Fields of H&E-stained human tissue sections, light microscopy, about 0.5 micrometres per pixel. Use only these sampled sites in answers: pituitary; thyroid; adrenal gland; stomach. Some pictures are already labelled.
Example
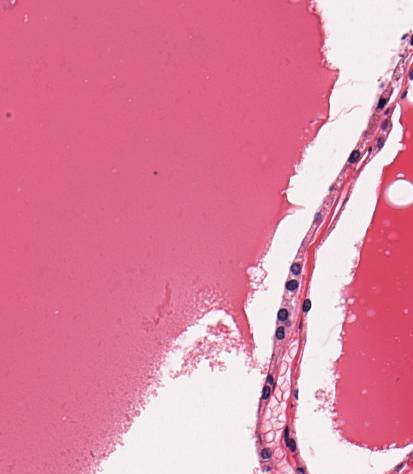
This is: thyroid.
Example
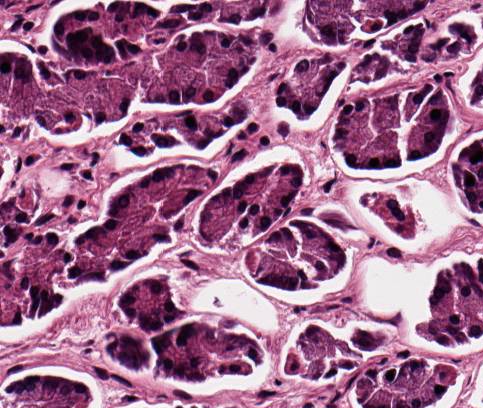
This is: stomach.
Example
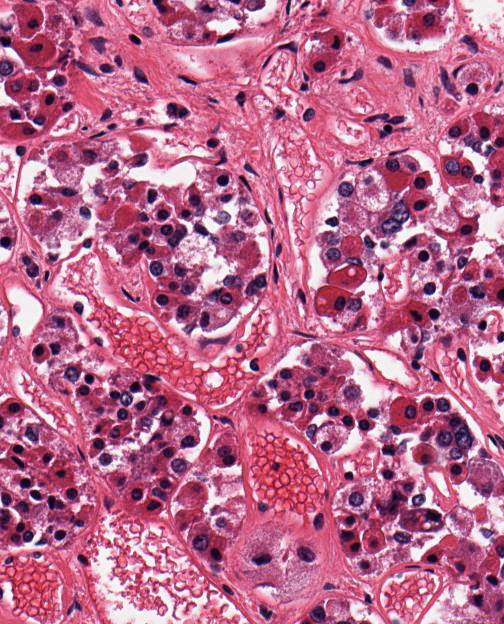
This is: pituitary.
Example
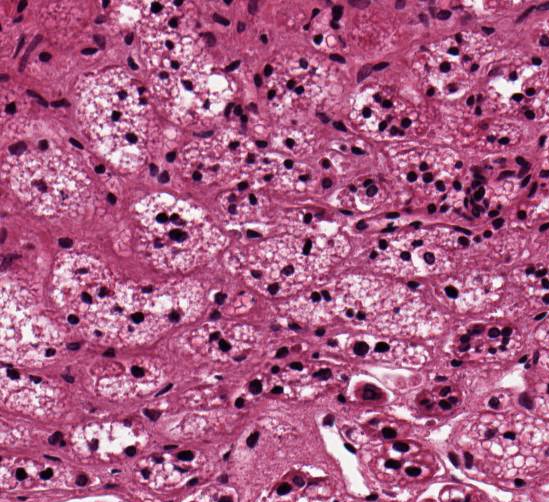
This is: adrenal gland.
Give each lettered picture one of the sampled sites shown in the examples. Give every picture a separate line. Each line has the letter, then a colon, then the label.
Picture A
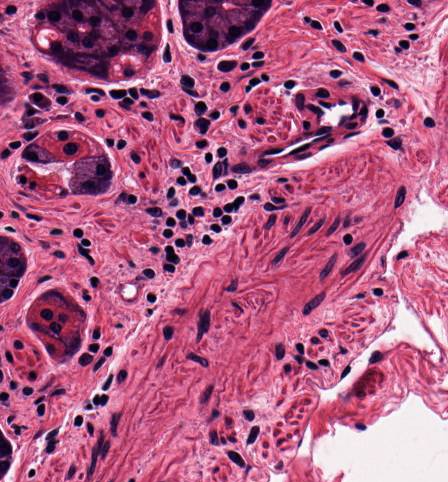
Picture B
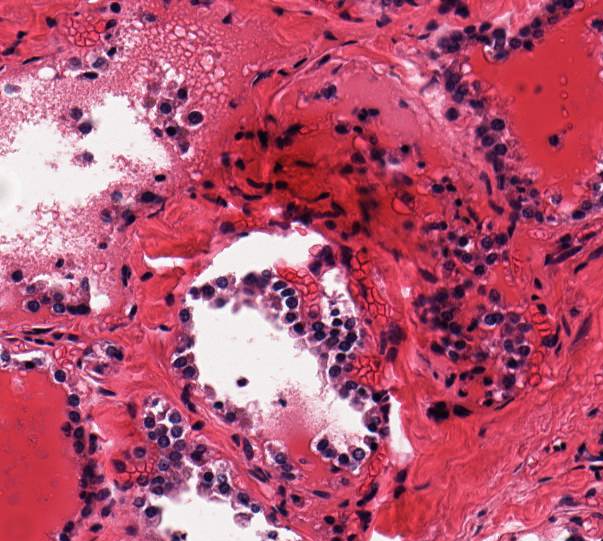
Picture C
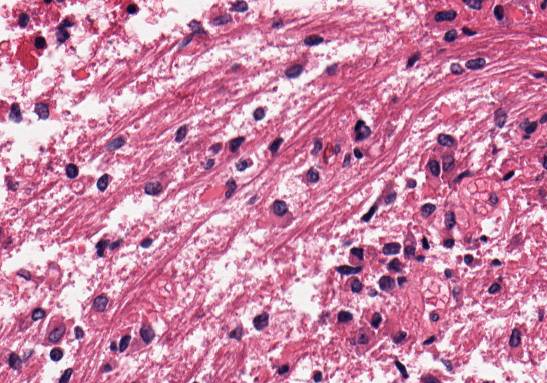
A: stomach.
B: thyroid.
C: pituitary.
